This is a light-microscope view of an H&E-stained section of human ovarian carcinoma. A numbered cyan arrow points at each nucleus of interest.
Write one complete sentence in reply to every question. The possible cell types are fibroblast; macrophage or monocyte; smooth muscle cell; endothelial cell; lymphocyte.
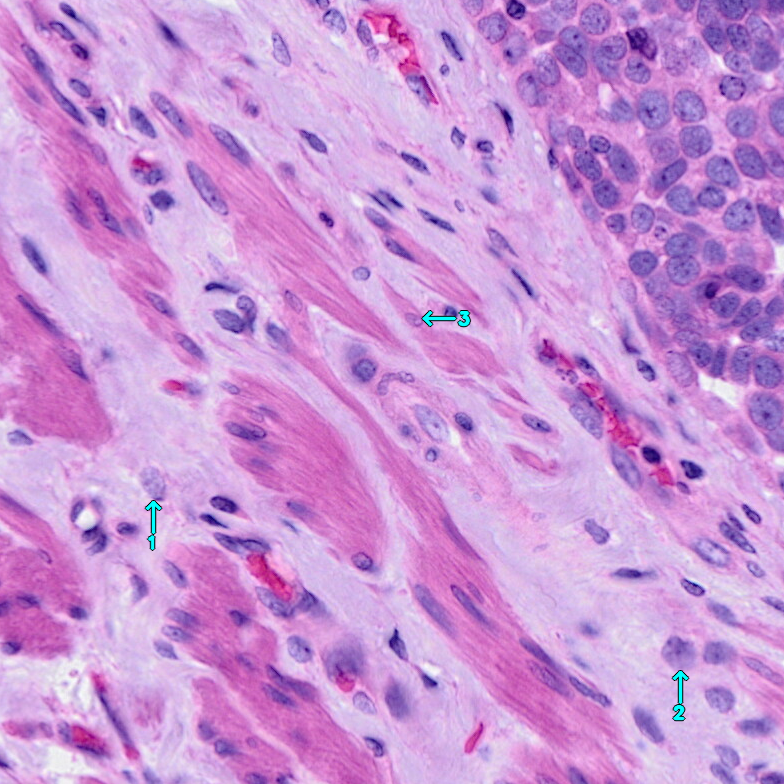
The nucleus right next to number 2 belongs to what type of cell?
Closest to number 2 lies the nucleus of a fibroblast.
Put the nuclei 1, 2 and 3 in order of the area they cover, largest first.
Going from the biggest nucleus down to the smallest gives 2, 1, 3.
